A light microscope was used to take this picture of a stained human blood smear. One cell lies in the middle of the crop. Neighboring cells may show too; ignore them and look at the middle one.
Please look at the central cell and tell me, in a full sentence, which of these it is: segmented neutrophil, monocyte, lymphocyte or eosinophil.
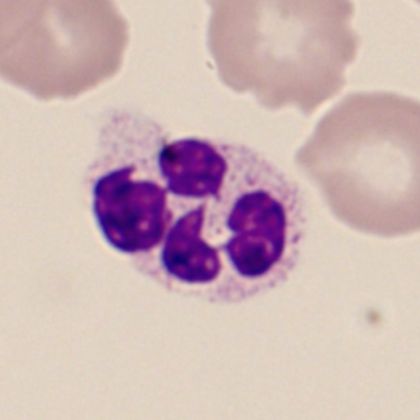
What sits at the centre of this crop is a segmented neutrophil.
